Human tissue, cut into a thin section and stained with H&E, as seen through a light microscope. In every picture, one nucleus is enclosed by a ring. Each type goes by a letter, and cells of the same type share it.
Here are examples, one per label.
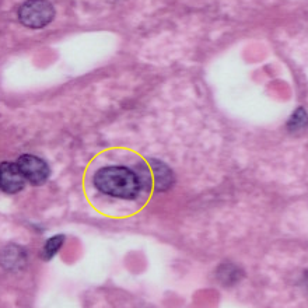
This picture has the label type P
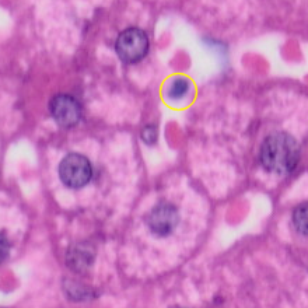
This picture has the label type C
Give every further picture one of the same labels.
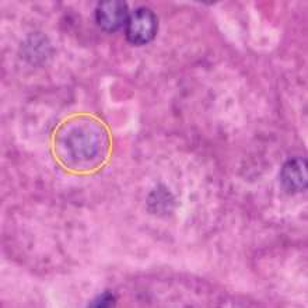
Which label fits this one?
type P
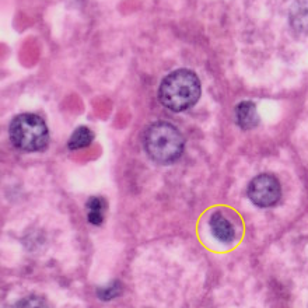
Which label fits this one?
type C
